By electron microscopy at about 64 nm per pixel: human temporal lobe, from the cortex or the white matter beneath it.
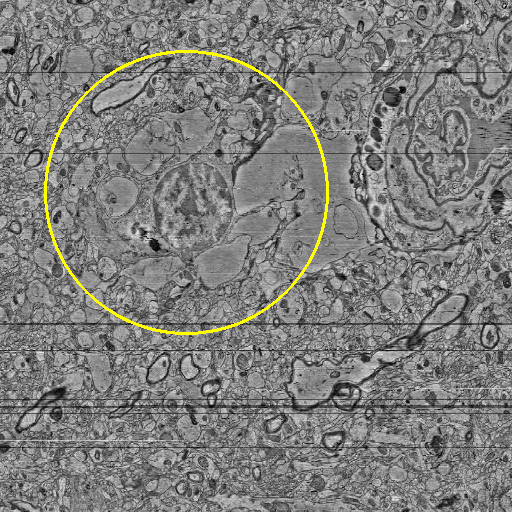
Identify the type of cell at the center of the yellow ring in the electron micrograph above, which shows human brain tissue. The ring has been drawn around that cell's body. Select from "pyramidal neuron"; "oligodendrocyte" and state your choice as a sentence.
The yellow ring is centered on the body of an oligodendrocyte.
